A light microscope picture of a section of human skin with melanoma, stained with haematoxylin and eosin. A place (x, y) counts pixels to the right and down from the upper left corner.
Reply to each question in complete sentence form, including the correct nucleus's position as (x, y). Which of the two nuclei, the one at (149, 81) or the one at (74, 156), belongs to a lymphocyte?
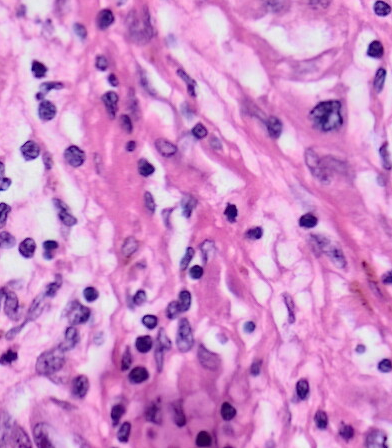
The correct choice is the nucleus at (74, 156), which belongs to a lymphocyte.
